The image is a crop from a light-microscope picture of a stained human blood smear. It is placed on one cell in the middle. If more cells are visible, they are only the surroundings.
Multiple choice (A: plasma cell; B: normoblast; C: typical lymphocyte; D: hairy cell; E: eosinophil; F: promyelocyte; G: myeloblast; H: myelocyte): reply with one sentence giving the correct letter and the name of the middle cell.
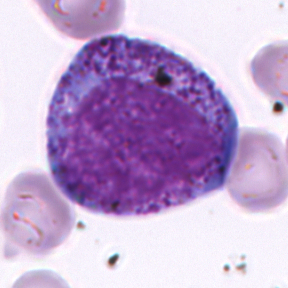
Option F is correct here, and the cell in the middle is a promyelocyte.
